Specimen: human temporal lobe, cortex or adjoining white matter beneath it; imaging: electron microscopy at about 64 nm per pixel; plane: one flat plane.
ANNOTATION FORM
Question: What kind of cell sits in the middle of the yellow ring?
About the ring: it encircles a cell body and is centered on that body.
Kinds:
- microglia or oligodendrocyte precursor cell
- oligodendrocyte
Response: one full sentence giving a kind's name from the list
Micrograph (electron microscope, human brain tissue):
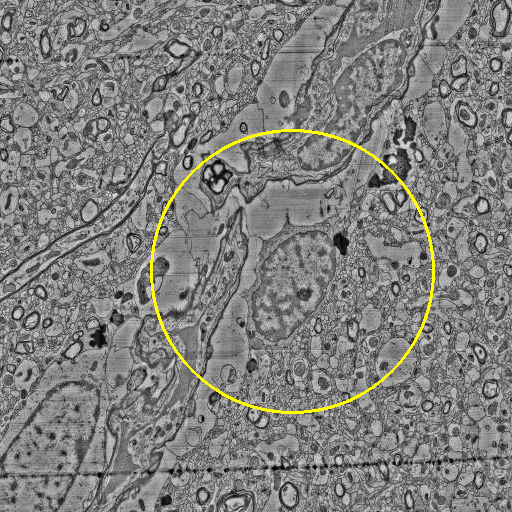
The kind of cell found at the center of the yellow ring in the micrograph is an oligodendrocyte.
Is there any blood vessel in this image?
Yes.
